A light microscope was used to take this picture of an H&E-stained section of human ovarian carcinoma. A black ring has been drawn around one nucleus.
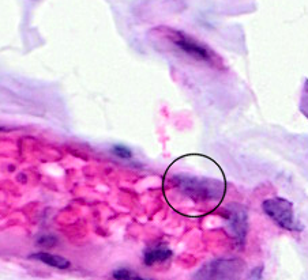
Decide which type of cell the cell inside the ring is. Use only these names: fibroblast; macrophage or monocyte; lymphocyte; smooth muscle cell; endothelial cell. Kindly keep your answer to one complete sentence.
With respect to cell type, the cell inside the ring is an endothelial cell.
